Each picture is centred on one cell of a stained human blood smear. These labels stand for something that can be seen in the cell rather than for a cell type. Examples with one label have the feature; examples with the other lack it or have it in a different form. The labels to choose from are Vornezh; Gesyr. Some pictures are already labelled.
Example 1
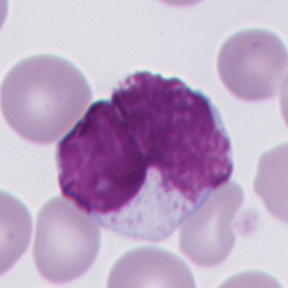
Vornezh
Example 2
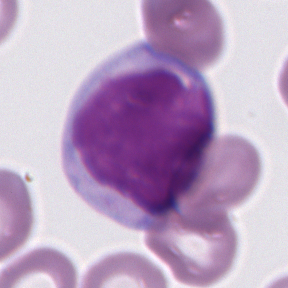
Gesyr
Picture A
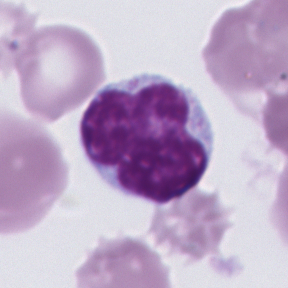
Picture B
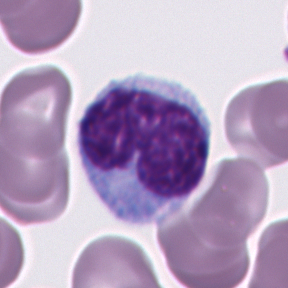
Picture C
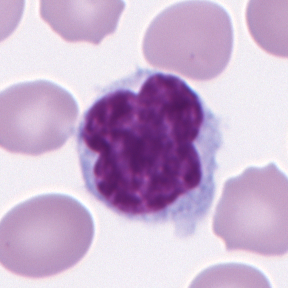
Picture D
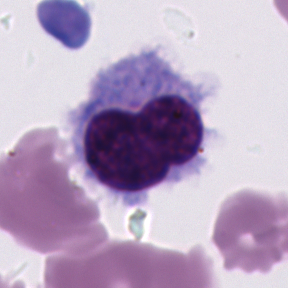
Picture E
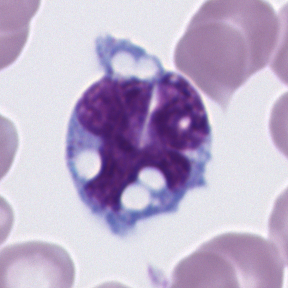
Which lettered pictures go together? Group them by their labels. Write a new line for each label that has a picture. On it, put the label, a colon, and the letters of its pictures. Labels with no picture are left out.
Vornezh: A, B, C, D, E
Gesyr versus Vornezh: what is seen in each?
In Gesyr: single compact nucleus. In Vornezh: lobed nucleus.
